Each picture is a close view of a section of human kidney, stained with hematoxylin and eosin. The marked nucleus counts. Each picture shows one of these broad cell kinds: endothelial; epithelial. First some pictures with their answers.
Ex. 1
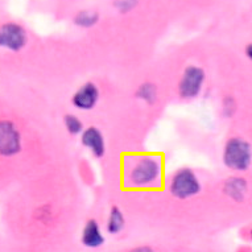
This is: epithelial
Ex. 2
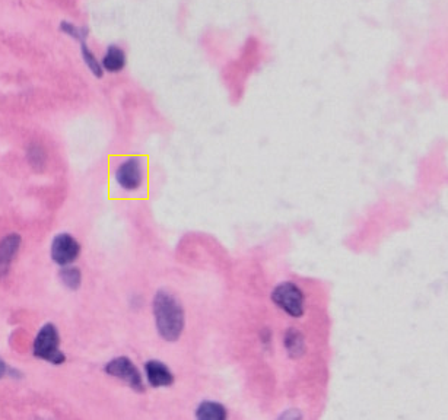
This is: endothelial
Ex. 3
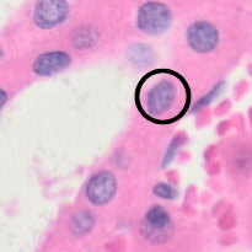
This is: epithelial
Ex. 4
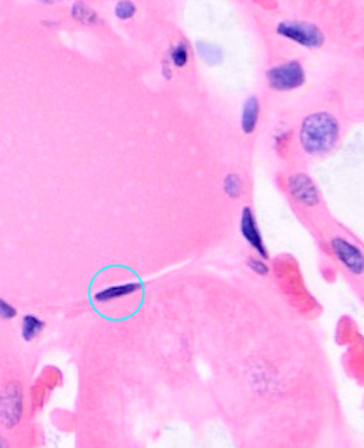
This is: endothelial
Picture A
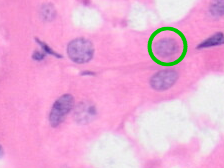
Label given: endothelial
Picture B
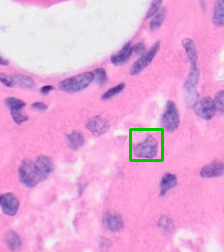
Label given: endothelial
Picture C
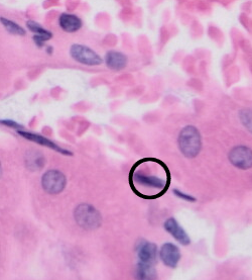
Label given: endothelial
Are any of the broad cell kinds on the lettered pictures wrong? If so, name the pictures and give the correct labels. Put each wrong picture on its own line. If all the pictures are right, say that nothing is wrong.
Wrong: A (endothelial); correct: epithelial
Wrong: B (endothelial); correct: epithelial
